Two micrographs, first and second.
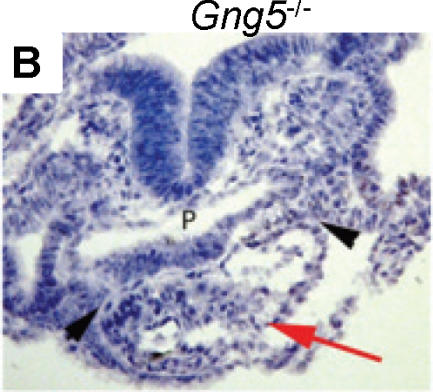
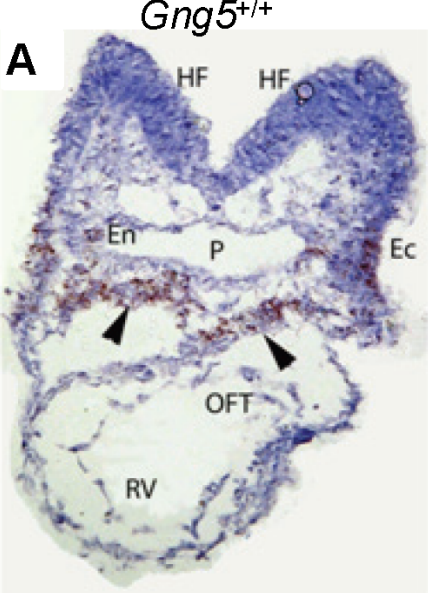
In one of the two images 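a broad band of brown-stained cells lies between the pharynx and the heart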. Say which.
The second image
